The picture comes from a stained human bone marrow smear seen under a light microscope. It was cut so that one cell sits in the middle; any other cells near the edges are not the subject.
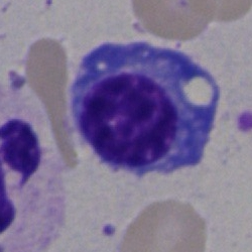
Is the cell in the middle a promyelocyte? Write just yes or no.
no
